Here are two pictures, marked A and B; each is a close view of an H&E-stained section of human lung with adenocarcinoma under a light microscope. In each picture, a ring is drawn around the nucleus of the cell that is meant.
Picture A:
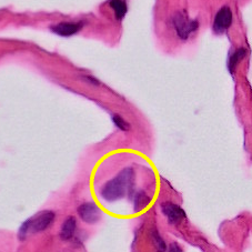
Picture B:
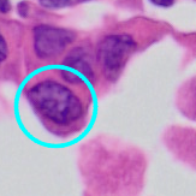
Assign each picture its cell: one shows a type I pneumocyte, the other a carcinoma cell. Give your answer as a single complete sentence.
It is picture A that shows a type I pneumocyte, and picture B that shows a carcinoma cell.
